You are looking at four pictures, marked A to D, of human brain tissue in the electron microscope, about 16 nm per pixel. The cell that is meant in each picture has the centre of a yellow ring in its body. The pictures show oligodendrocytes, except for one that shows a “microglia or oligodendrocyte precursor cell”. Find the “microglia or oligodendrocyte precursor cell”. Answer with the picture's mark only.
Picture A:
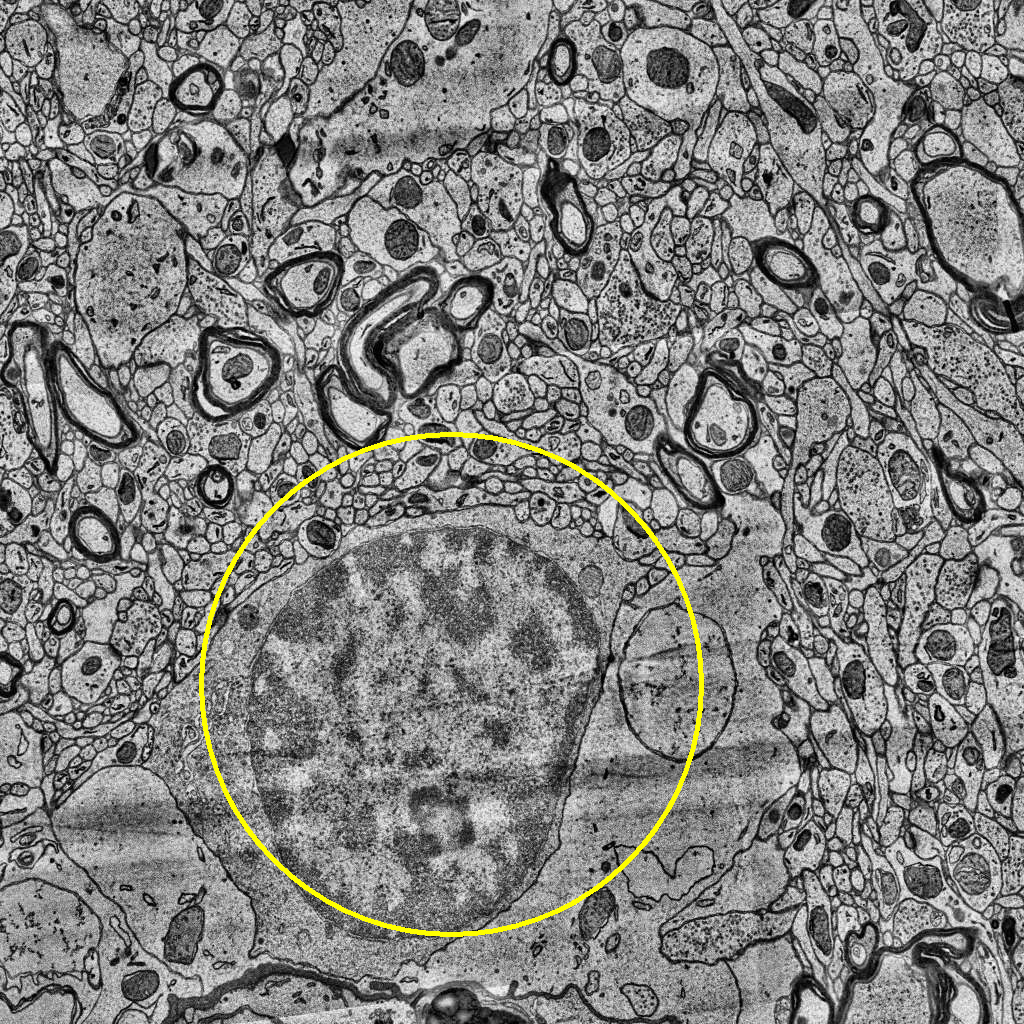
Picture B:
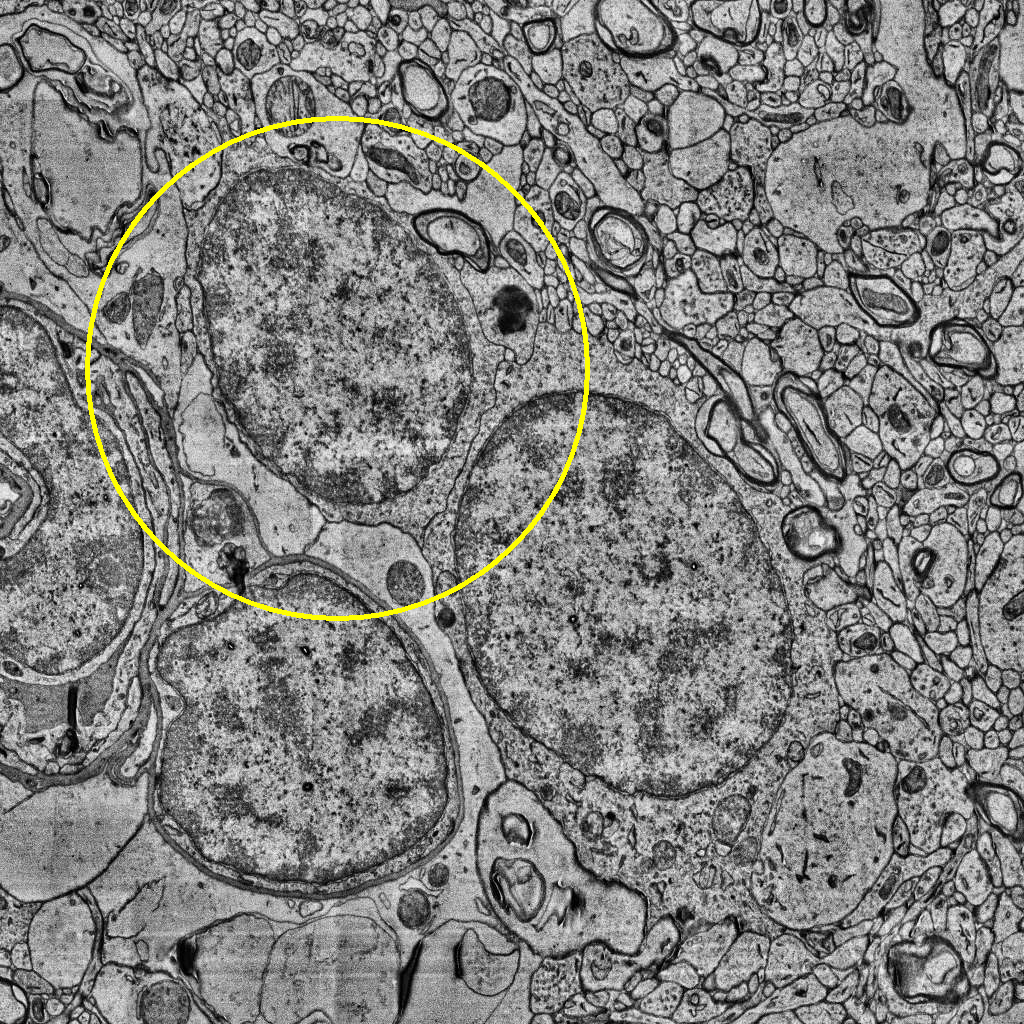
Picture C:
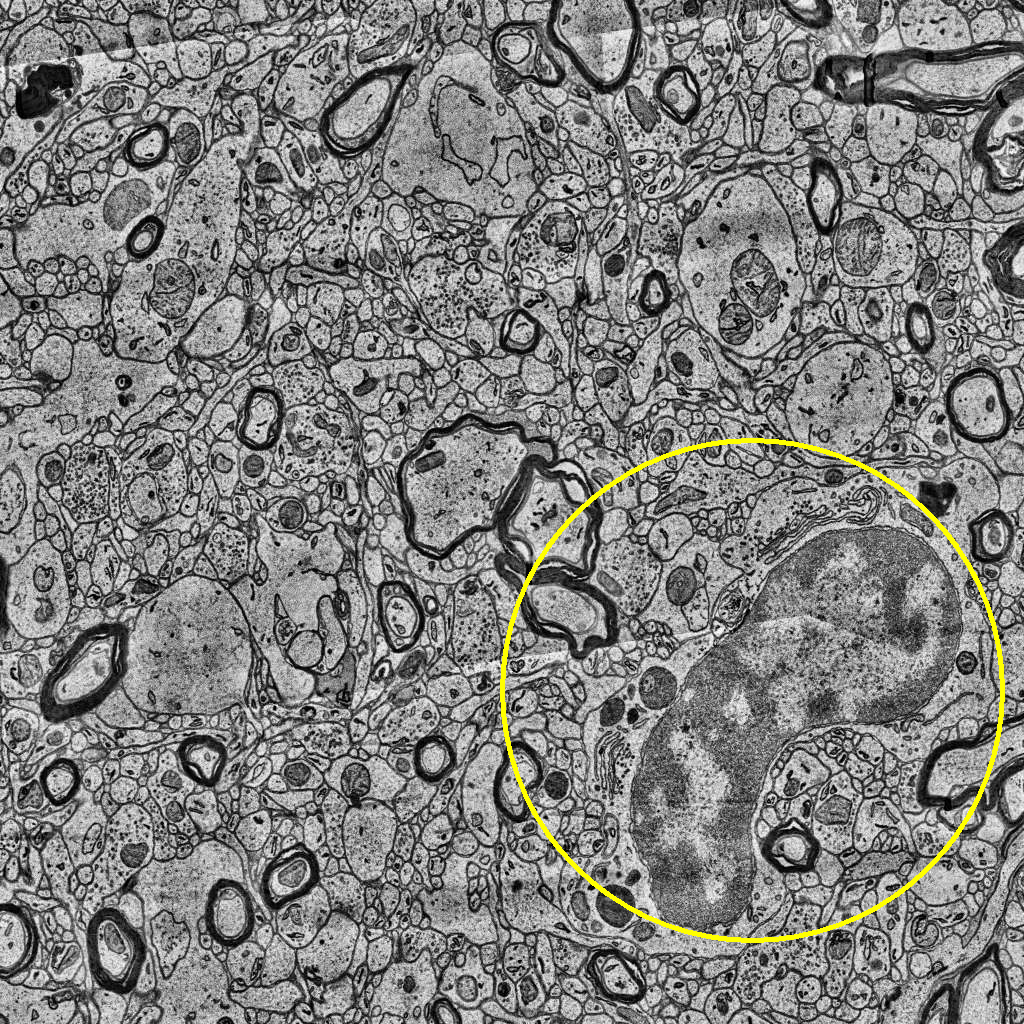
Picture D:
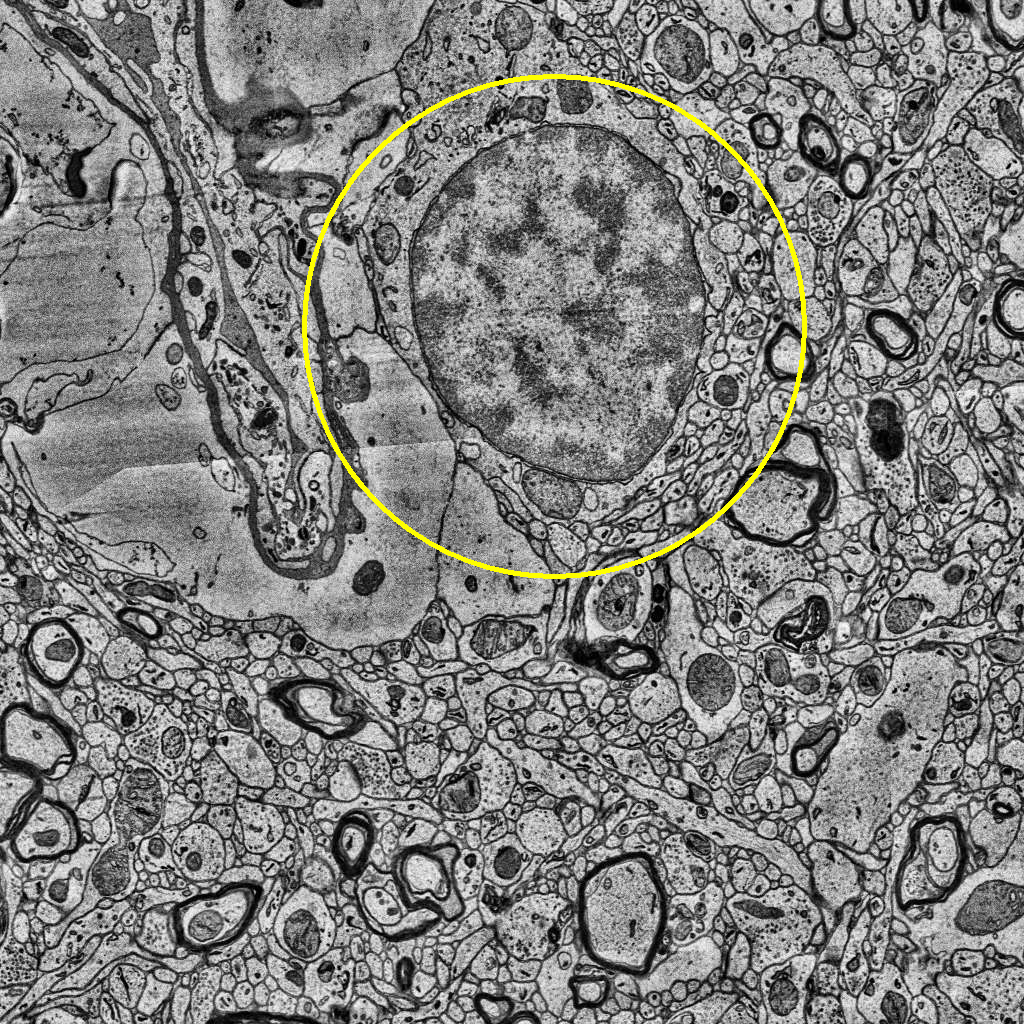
C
